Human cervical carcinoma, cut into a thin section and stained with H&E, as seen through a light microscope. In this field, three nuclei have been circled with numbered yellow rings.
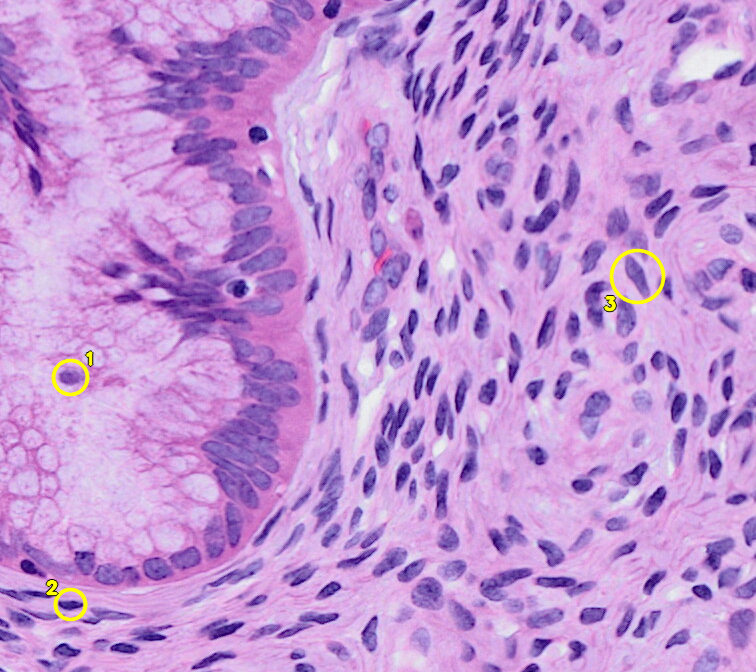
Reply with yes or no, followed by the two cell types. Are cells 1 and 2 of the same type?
No, that does not hold; cell 1 is a secretory epithelial cell and cell 2 is a fibroblast.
